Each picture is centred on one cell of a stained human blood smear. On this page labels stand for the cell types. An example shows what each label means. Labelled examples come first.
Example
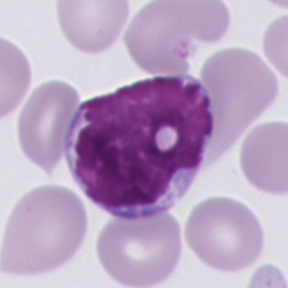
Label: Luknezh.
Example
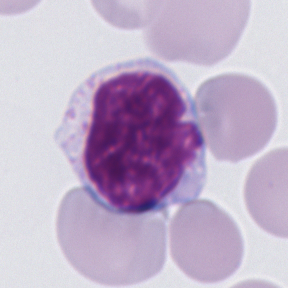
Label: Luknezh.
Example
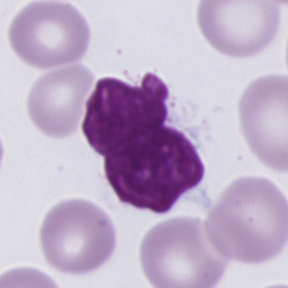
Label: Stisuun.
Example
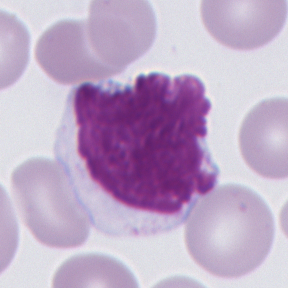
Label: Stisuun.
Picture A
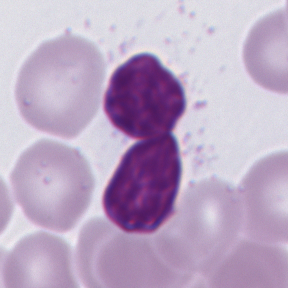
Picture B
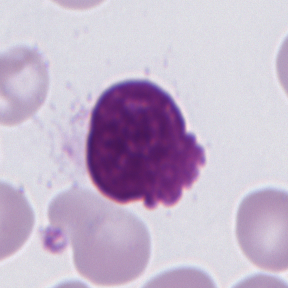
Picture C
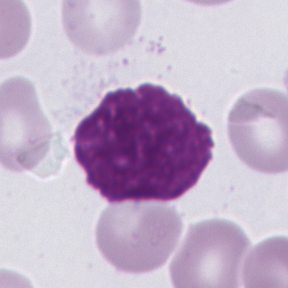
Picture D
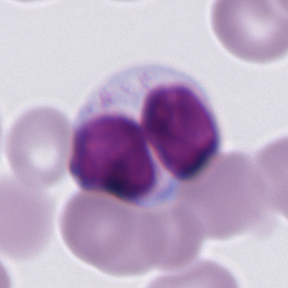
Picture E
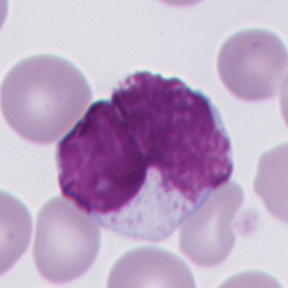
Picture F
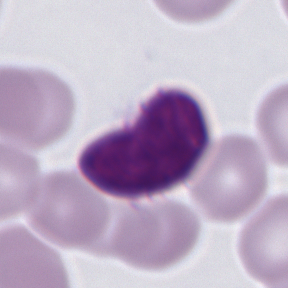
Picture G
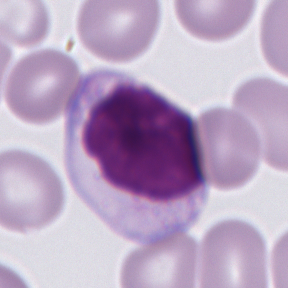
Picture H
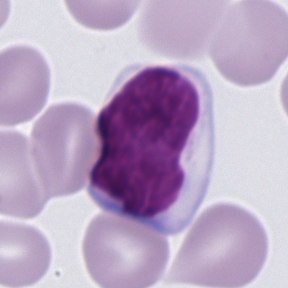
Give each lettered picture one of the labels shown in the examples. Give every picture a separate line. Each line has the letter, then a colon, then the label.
A: Stisuun.
B: Stisuun.
C: Stisuun.
D: Luknezh.
E: Luknezh.
F: Stisuun.
G: Luknezh.
H: Luknezh.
